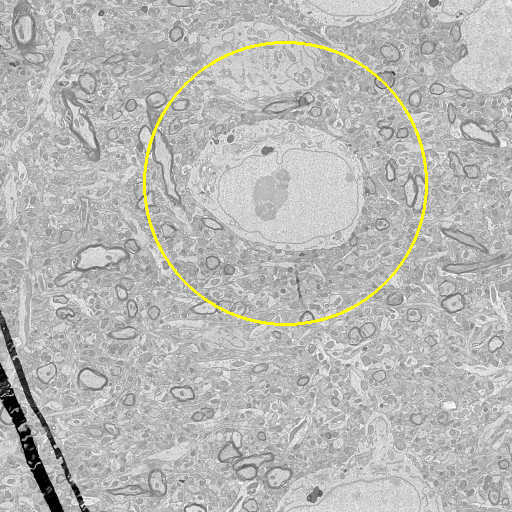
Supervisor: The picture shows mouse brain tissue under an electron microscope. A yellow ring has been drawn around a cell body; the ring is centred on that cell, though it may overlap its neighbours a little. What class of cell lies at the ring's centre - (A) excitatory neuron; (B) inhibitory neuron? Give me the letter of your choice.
A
